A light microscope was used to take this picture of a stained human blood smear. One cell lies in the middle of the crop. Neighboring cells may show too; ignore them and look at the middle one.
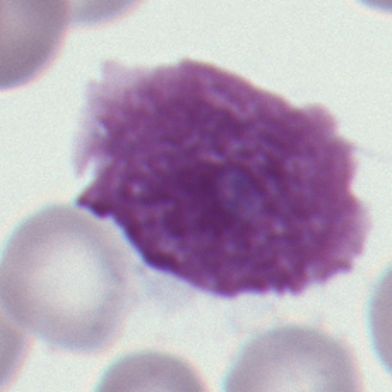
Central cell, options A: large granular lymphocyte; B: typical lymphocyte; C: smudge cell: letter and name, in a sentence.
The central cell of the crop is a smudge cell, which makes C the correct option.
